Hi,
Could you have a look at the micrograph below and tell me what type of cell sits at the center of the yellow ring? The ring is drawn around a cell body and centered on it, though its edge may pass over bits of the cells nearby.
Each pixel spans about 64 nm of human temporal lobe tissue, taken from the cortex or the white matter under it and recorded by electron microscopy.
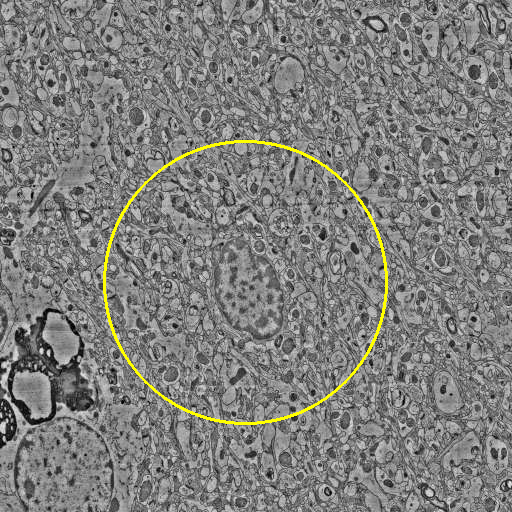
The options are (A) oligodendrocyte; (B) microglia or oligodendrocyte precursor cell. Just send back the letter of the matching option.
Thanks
A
